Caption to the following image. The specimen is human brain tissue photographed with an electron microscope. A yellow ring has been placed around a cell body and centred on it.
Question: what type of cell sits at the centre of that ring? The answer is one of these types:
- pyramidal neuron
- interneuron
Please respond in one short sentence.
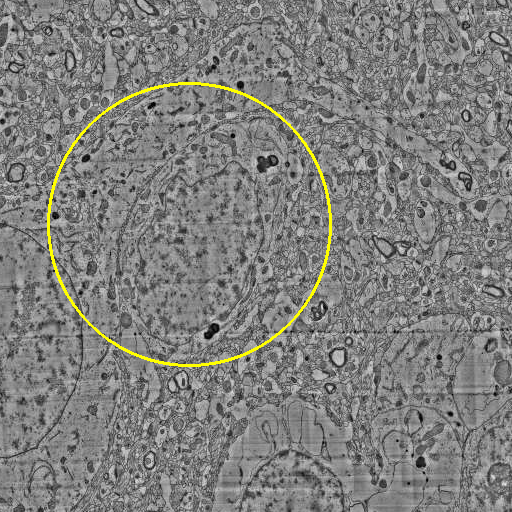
The ring surrounds the cell body of an interneuron.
